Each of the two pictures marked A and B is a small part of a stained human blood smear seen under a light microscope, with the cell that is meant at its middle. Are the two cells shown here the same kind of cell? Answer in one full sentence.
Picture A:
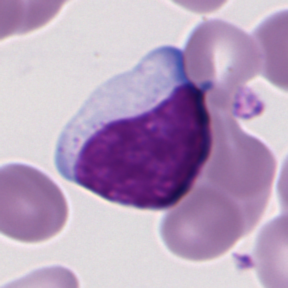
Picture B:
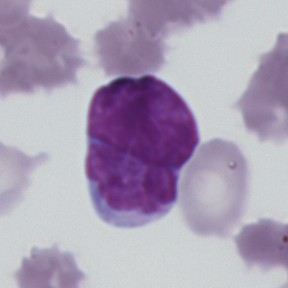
No, picture A shows a large granular lymphocyte and picture B shows a myeloblast.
